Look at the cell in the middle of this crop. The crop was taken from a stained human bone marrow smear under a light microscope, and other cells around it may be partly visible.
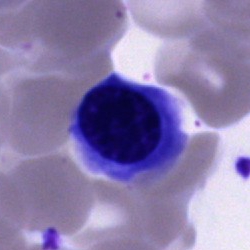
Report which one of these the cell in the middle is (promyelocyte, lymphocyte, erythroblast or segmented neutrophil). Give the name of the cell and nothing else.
erythroblast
